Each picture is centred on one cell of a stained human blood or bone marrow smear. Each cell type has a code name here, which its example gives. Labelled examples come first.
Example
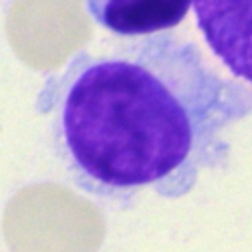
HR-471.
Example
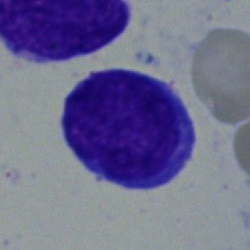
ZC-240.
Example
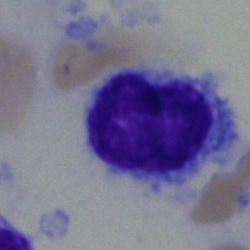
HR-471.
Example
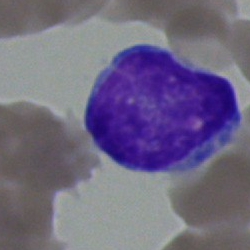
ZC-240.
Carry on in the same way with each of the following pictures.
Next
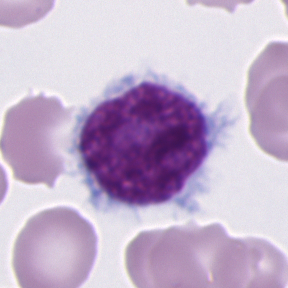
HR-471.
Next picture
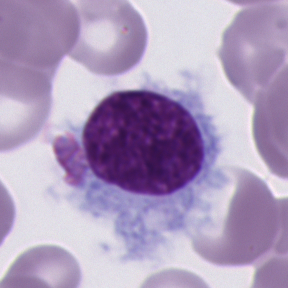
HR-471.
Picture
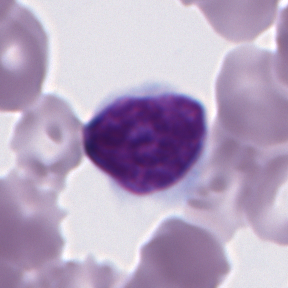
HR-471.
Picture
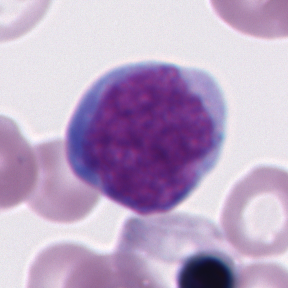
ZC-240.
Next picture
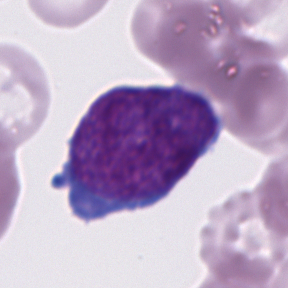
ZC-240.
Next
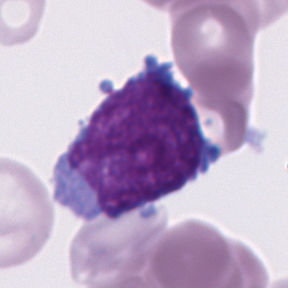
ZC-240.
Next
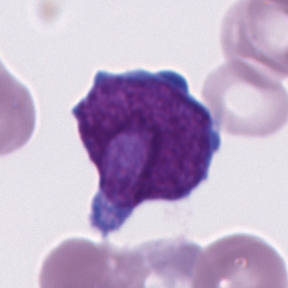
ZC-240.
